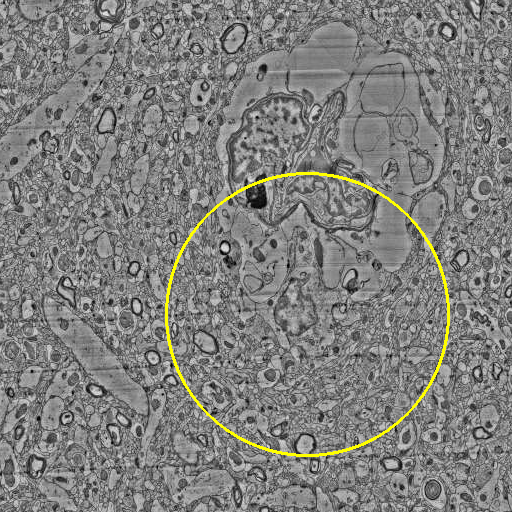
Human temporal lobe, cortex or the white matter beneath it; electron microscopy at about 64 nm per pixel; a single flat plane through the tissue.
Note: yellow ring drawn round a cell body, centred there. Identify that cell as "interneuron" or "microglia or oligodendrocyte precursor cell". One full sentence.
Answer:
The cell in the middle of the ring is an interneuron.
